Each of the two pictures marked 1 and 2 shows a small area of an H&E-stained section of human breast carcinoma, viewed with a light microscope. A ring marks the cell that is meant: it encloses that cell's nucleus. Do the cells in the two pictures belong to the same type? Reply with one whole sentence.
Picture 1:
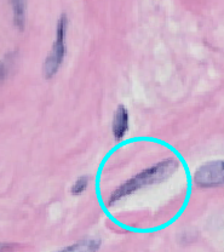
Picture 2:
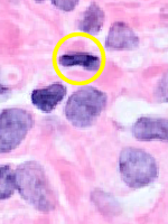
No; the cell in picture 1 is an endothelial cell, while the one in picture 2 is a lymphocyte.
